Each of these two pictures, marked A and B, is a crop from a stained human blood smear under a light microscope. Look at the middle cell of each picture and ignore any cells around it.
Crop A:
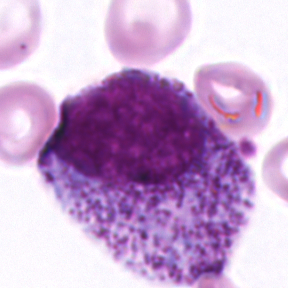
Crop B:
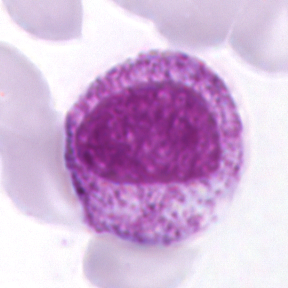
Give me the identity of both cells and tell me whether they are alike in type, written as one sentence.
Yes, both crops show myelocytes as the central cells.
